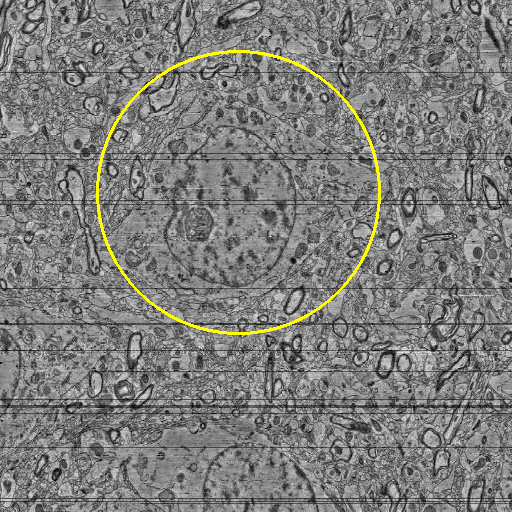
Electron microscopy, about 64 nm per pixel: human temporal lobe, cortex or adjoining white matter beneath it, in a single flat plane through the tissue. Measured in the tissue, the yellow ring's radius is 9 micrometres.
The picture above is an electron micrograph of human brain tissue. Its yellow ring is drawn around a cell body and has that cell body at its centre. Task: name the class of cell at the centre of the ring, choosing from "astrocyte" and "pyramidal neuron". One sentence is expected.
The ring surrounds the body of a pyramidal neuron.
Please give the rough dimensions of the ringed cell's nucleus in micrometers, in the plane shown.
The nucleus works out at approximately 11 by 9 micrometres in this plane.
